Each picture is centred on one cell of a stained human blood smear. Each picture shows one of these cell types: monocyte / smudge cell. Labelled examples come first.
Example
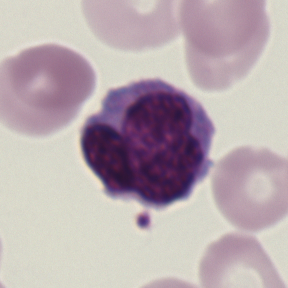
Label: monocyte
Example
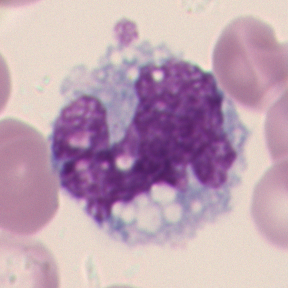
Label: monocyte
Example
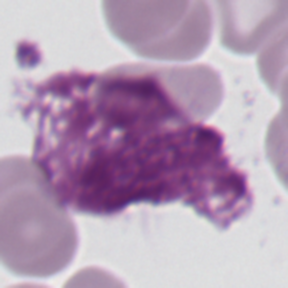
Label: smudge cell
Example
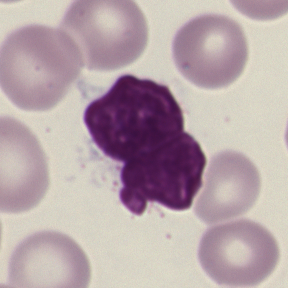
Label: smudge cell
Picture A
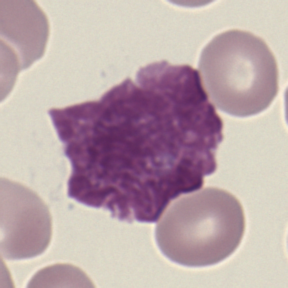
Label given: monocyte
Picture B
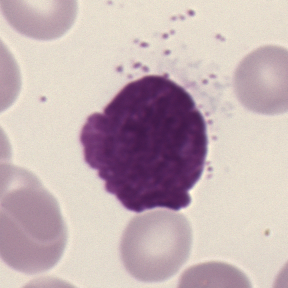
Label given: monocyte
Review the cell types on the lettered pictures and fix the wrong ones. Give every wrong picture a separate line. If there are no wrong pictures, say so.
A: not monocyte but smudge cell
B: not monocyte but smudge cell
